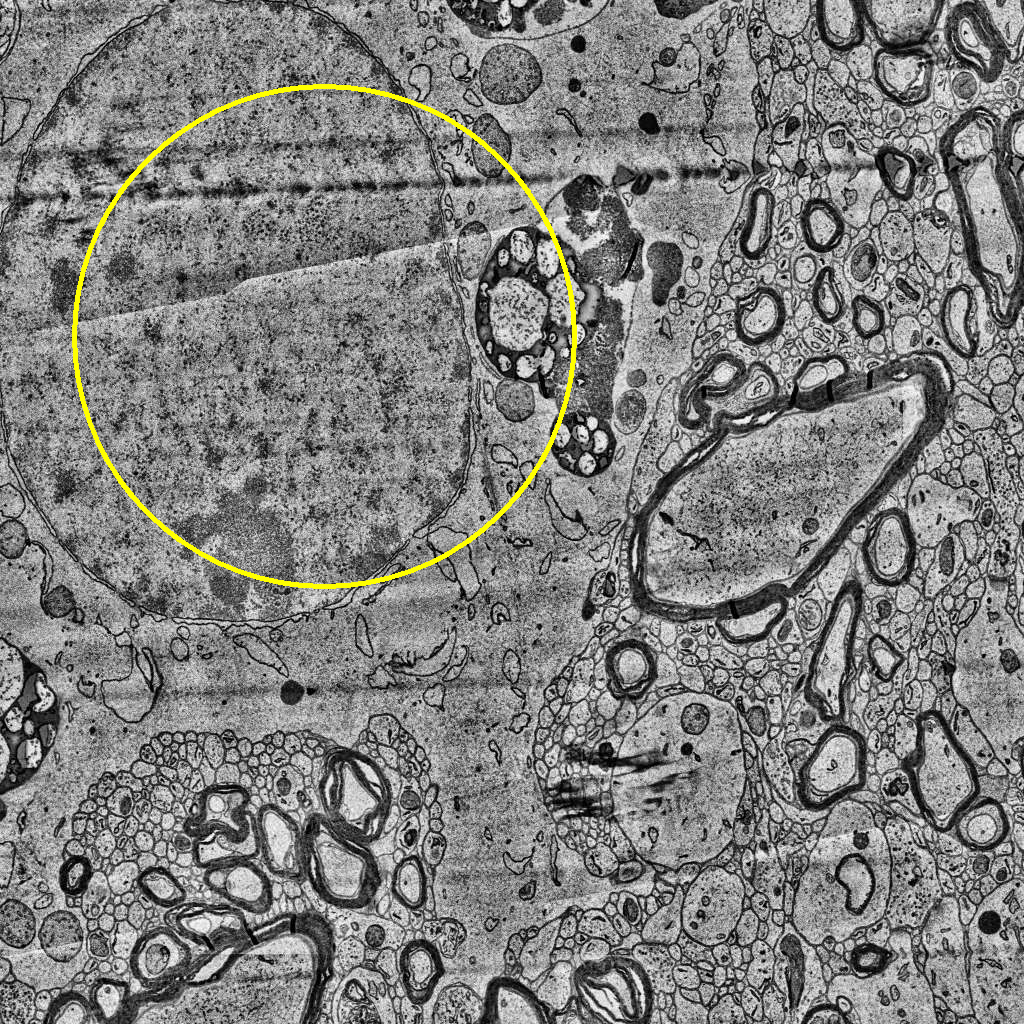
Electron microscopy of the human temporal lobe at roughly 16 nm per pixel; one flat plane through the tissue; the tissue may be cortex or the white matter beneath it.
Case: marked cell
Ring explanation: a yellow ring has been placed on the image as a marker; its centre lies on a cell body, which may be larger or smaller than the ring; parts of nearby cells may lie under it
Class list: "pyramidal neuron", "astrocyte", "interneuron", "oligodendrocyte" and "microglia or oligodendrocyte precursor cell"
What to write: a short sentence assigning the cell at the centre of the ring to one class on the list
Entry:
The cell at the ring's centre is an astrocyte.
